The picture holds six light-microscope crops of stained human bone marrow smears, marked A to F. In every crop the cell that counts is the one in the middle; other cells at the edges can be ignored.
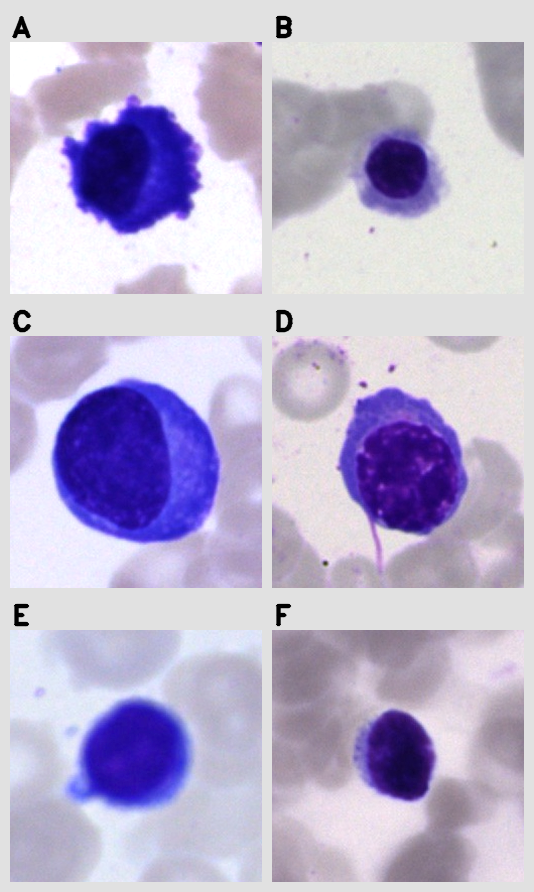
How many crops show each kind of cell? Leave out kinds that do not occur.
plasma cell: 2
erythroblast: 2
lymphocyte: 2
